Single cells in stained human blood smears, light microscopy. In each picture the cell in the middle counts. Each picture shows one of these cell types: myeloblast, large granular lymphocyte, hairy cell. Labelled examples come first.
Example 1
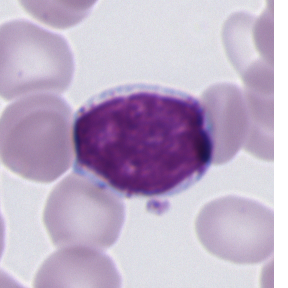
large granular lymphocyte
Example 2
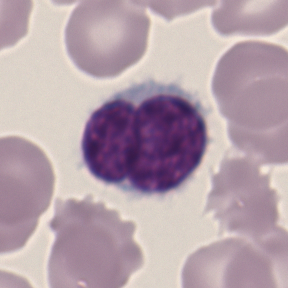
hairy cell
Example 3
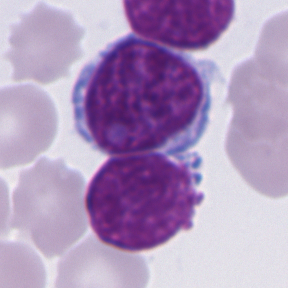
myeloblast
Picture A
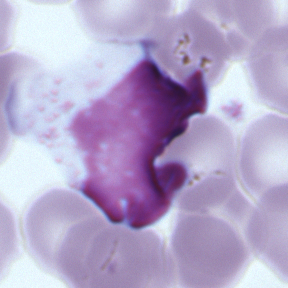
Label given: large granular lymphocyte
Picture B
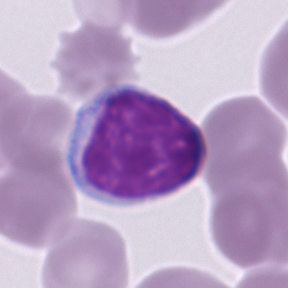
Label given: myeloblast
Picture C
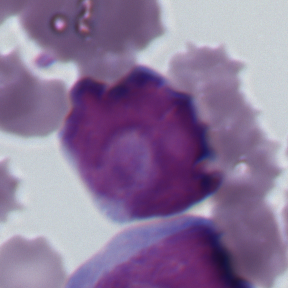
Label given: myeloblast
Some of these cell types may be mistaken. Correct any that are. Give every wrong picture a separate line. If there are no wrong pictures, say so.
Wrong: B (myeloblast); correct: large granular lymphocyte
